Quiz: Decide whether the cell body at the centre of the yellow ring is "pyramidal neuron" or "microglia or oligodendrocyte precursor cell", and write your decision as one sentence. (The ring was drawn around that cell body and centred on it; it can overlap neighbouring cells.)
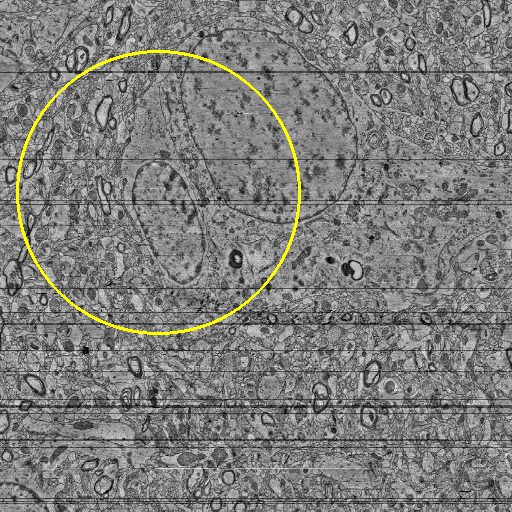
The cell the ring is centred on is a microglial cell or oligodendrocyte precursor cell.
